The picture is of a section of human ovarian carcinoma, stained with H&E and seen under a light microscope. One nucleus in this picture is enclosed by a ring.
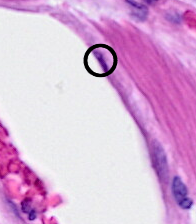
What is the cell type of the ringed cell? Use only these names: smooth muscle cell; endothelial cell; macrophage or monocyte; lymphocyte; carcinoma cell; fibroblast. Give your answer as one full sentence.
As classified here, the ringed cell is an endothelial cell.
